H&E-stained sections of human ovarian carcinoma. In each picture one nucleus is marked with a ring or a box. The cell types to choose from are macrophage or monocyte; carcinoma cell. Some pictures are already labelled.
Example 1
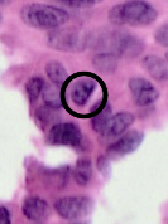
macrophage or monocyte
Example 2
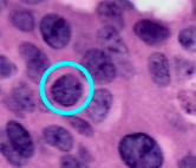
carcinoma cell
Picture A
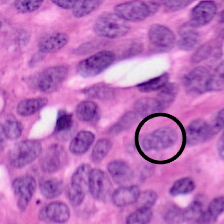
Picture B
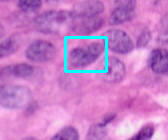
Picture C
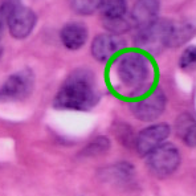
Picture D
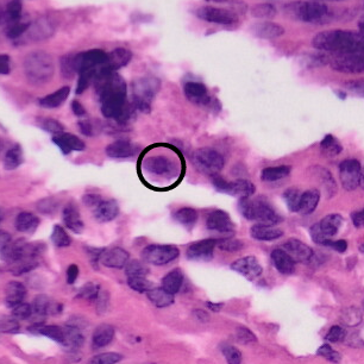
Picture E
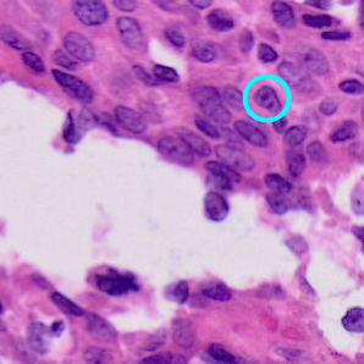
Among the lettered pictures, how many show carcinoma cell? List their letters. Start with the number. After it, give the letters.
3: A, C, D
